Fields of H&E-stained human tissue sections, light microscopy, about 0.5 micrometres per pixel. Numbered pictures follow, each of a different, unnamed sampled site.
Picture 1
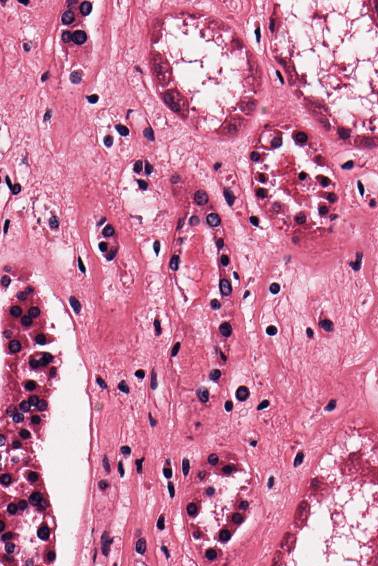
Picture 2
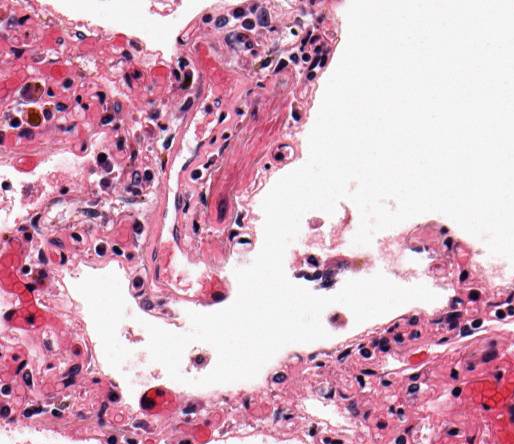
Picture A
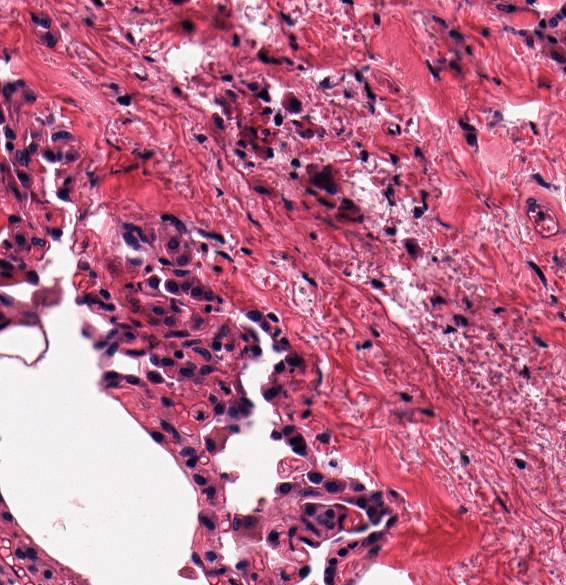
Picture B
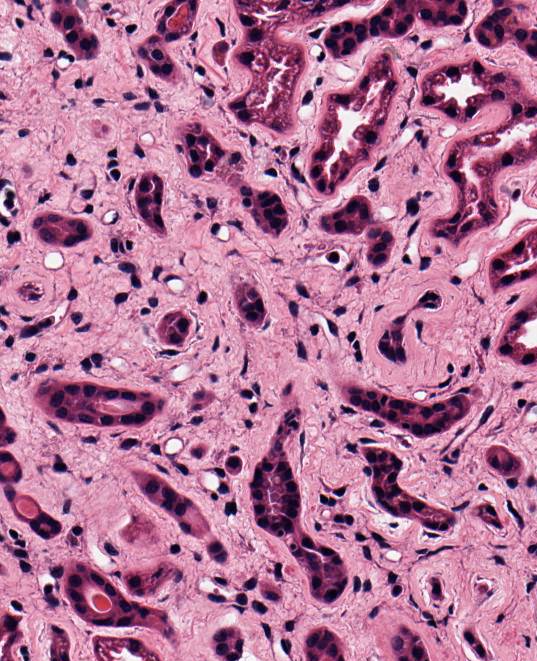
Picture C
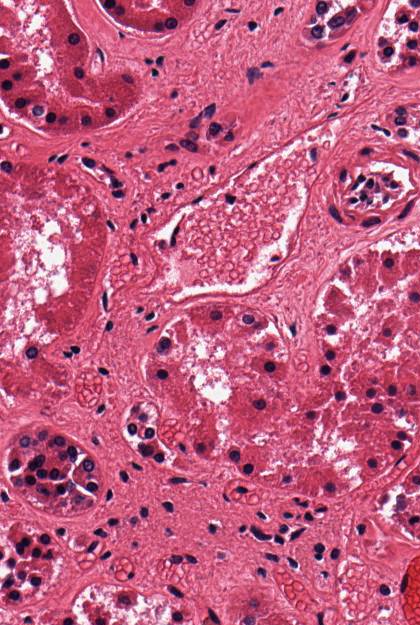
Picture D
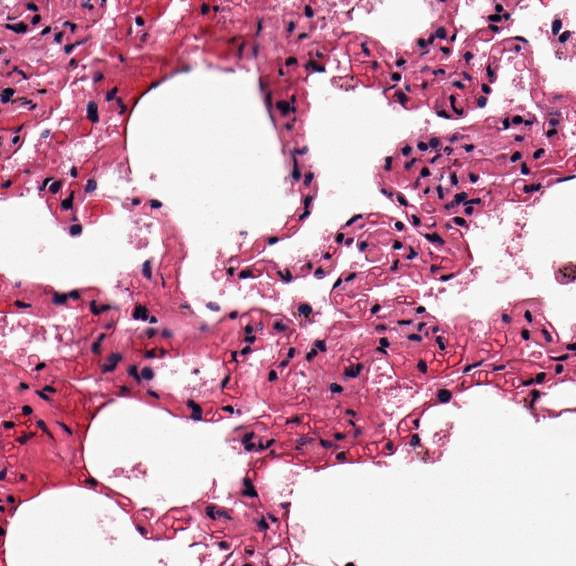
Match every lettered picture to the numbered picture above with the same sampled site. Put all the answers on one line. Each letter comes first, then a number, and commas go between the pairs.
A 2, B 1, C 1, D 2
